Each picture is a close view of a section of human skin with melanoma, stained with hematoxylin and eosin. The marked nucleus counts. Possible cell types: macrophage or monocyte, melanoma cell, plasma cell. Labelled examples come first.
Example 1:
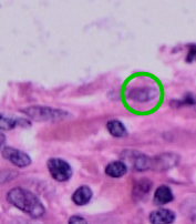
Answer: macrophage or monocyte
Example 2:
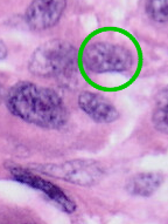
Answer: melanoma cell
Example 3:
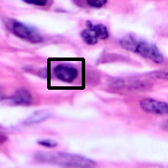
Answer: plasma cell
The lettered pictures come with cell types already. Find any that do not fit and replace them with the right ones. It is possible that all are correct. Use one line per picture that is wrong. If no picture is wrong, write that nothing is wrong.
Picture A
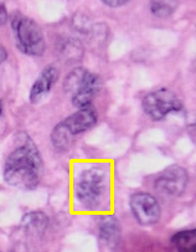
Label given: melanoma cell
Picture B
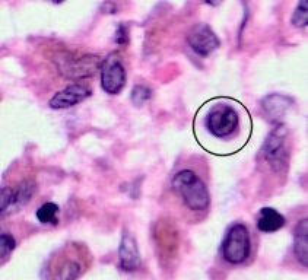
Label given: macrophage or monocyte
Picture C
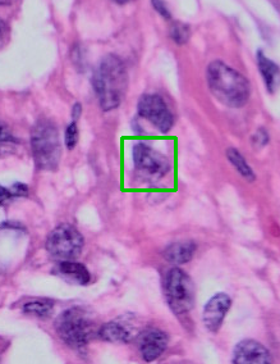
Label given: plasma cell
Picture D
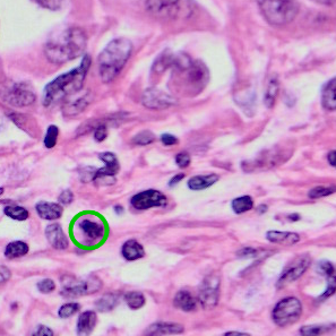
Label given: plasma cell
C: melanoma cell, not plasma cell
